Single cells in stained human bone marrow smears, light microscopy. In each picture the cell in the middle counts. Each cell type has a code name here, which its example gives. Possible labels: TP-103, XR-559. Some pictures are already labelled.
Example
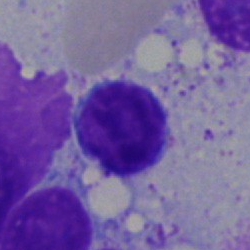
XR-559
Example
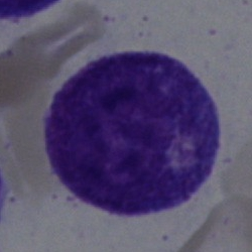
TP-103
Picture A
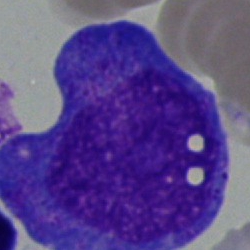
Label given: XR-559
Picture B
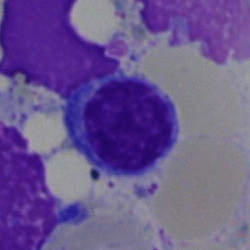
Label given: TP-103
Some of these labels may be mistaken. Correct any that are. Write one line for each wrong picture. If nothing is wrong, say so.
Wrong: A (XR-559); correct: TP-103
Wrong: B (TP-103); correct: XR-559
